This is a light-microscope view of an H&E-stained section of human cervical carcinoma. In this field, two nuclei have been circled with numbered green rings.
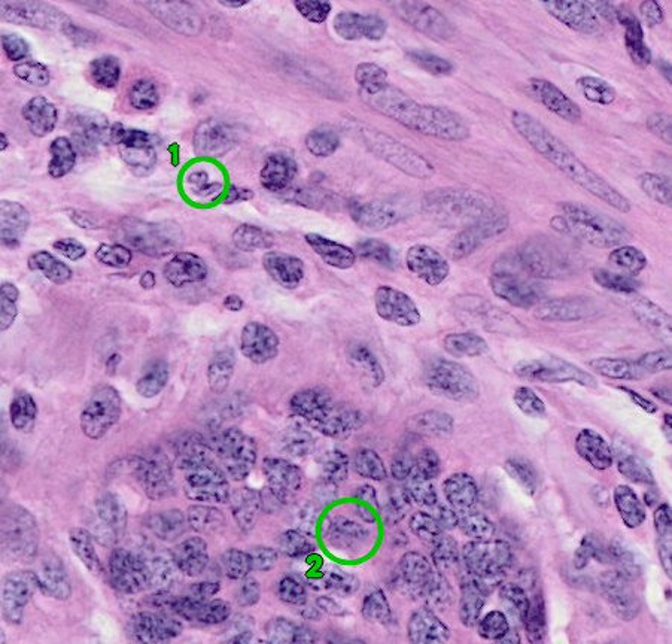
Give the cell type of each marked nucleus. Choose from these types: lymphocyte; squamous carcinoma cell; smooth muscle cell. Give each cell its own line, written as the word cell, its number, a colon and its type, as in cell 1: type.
cell 1: lymphocyte
cell 2: squamous carcinoma cell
